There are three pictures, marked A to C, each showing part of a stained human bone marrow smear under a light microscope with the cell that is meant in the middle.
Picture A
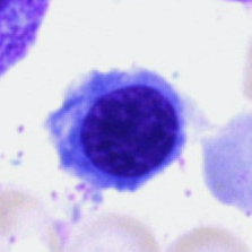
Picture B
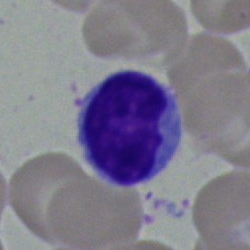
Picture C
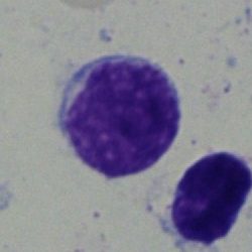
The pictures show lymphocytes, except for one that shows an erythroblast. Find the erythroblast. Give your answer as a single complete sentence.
The picture with the erythroblast is A.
